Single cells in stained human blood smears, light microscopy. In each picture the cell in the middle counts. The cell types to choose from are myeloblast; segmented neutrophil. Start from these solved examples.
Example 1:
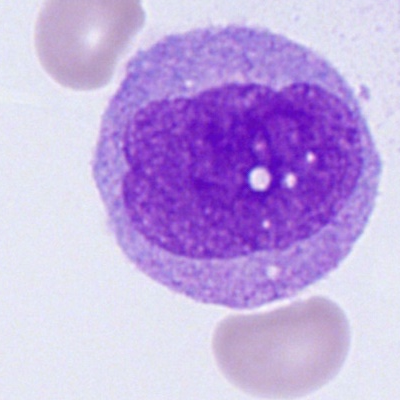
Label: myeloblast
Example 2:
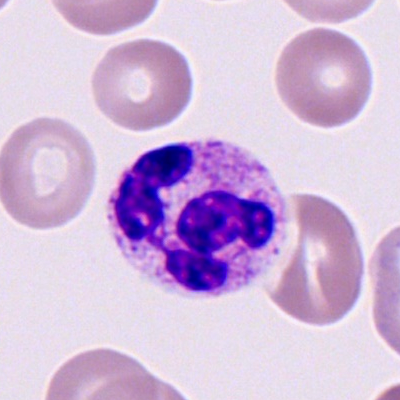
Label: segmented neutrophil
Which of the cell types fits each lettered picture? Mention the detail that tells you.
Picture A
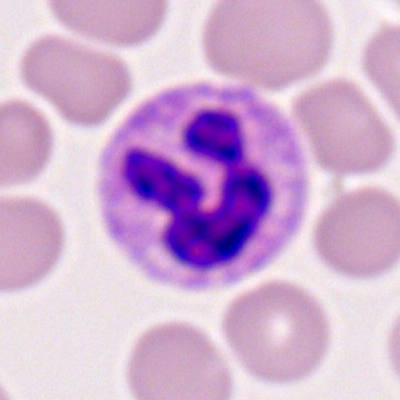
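segmented neutrophil. Reason: The cytoplasm is plentiful and pale lilac-pink.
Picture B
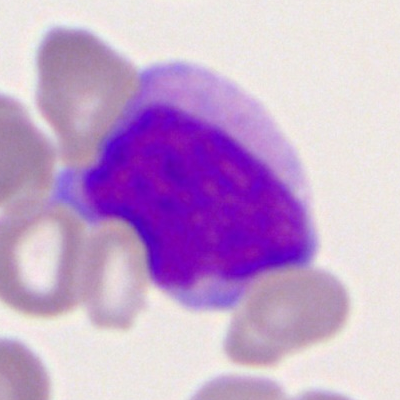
myeloblast. Reason: The nucleus is a single unlobed mass.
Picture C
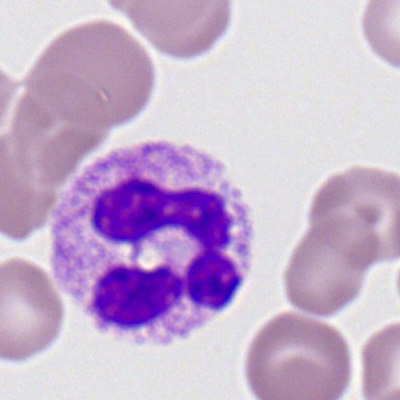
segmented neutrophil. Reason: The nucleus is divided into three separate lobes.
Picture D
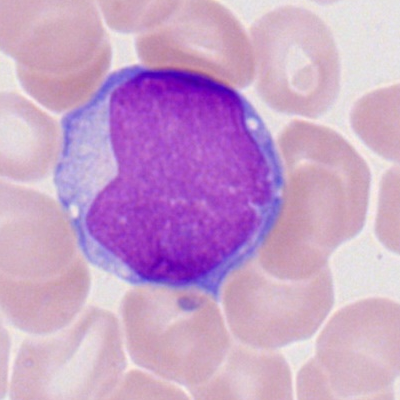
myeloblast. Reason: The nucleus fills most of the cell.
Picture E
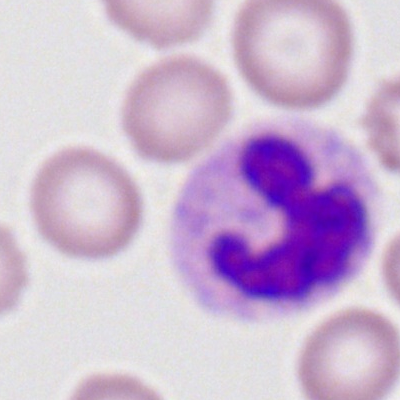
segmented neutrophil. Reason: The cytoplasm is plentiful and pale pinkish-lilac.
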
